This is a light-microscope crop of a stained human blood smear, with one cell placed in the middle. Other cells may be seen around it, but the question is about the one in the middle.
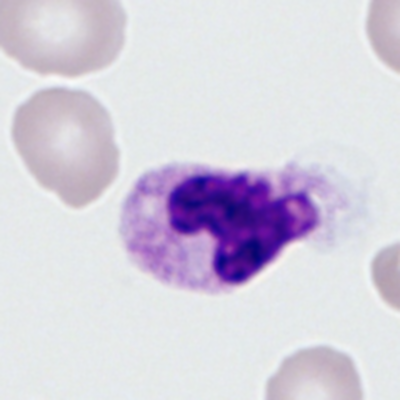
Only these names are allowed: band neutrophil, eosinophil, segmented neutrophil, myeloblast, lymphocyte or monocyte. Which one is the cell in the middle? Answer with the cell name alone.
segmented neutrophil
